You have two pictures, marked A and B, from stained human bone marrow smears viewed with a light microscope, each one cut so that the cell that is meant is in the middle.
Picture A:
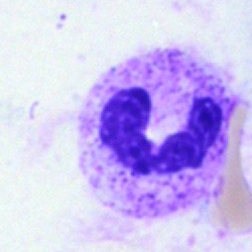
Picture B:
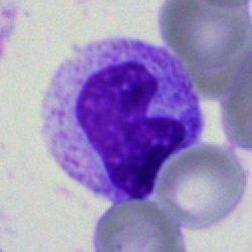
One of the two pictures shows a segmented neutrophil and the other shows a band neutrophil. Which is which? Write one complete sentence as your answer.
The cell in picture A is a segmented neutrophil, and the one in picture B is a band neutrophil.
